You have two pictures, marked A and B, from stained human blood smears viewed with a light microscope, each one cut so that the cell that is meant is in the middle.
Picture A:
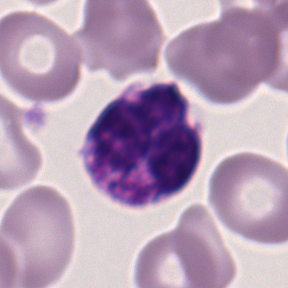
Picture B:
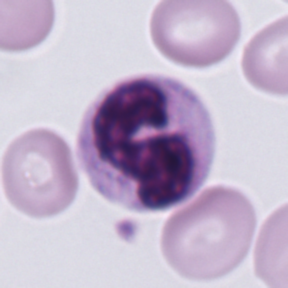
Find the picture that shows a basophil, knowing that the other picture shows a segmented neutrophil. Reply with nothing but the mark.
A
